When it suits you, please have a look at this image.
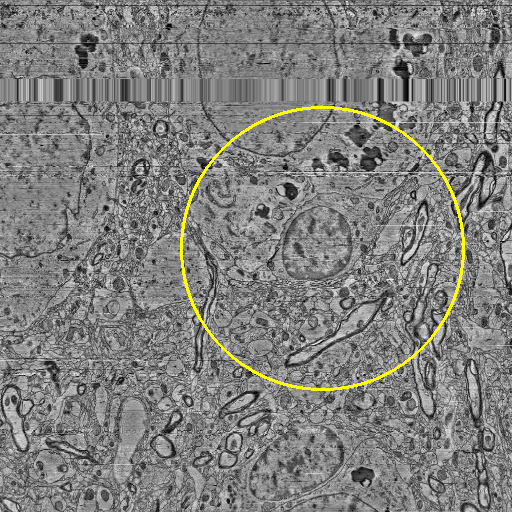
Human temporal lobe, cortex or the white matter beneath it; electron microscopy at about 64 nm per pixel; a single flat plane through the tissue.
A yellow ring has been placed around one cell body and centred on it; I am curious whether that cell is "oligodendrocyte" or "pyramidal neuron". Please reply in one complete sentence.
The ringed cell, an oligodendrocyte, has its body at the centre of the yellow ring.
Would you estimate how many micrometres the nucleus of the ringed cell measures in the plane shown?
The nucleus measures about 5 by 4 micrometres in this plane.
